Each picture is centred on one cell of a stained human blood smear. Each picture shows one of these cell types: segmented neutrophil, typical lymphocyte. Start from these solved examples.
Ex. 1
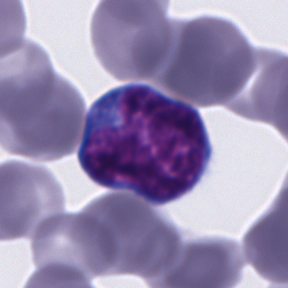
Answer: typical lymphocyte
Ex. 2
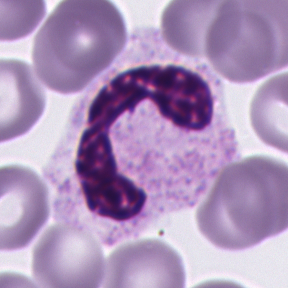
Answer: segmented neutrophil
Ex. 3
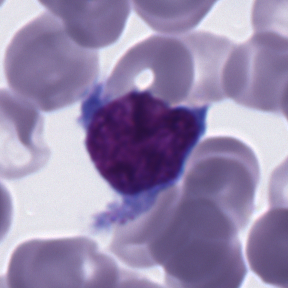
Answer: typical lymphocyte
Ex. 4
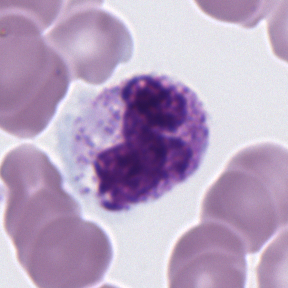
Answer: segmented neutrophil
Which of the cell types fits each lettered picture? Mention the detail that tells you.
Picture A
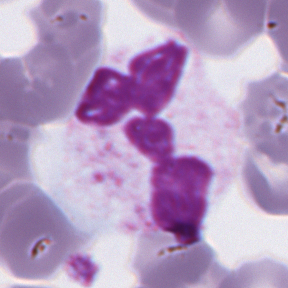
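segmented neutrophil: The nucleus is divided into four lobes joined by narrow constrictions.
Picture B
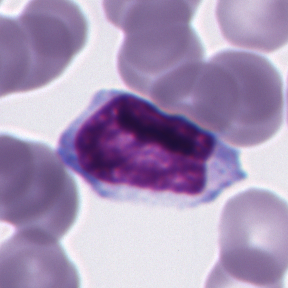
typical lymphocyte: The cytoplasm forms a narrow rim that is widest on the right side of the nucleus.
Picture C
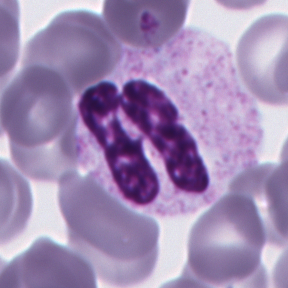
segmented neutrophil: The nucleus consists of two elongated, sausage-shaped lobes lying side by side.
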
